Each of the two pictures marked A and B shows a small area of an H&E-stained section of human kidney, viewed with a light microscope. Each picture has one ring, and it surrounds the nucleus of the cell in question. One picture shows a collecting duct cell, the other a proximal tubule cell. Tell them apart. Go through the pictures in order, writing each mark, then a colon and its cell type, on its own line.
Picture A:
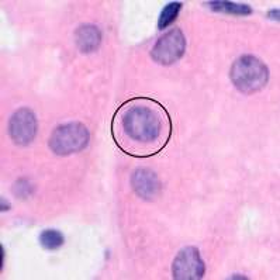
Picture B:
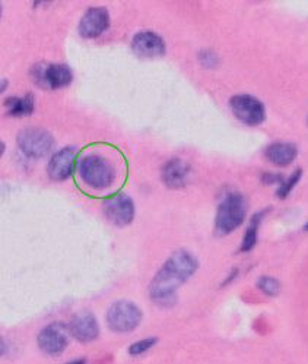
A: proximal tubule cell
B: collecting duct cell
